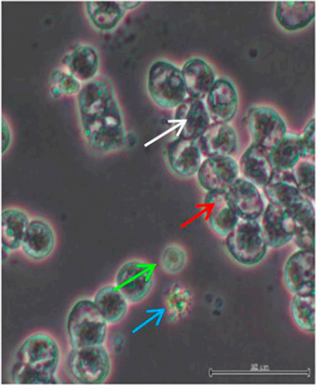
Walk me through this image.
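Cultured cells seen by phase contrast, lying in loose clusters and chains with much open background between them. Most cells are rounded rather than flat and polygonal, each with a bright halo at its rim, and many touch their neighbours only loosely. Some cells have dark, dense interiors, and some show clear spaces in the cytoplasm. A few small round cells lie alone, away from the groups, and near one of them is a small heap of bright, fragmented granules. The overall picture is of sparse, rounded, partly detached cells instead of a continuous sheet.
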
